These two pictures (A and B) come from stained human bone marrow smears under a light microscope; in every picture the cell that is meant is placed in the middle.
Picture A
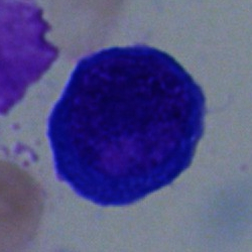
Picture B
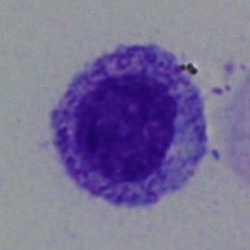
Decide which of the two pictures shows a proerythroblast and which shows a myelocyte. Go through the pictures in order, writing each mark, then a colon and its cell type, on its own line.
A: proerythroblast
B: myelocyte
